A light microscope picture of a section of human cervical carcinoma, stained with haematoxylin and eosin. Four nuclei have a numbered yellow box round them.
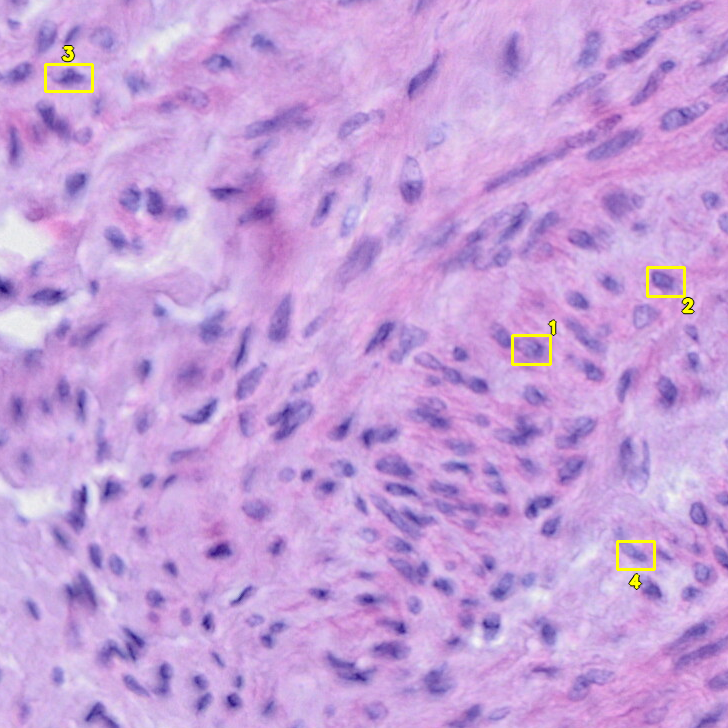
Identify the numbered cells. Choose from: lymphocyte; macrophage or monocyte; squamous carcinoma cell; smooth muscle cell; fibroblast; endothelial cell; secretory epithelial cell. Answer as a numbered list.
1. smooth muscle cell
2. smooth muscle cell
3. fibroblast
4. smooth muscle cell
